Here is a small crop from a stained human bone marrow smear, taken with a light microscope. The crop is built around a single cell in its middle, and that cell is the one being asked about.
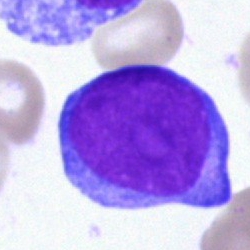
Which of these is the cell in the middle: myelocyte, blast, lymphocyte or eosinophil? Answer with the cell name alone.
blast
